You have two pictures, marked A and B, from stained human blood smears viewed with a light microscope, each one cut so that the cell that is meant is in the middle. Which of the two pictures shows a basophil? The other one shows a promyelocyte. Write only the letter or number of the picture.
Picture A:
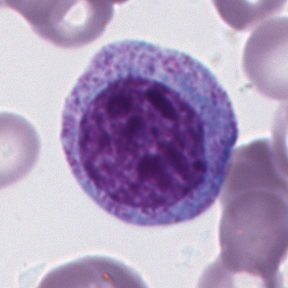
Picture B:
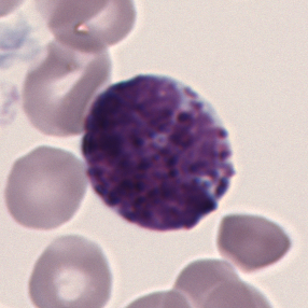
B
